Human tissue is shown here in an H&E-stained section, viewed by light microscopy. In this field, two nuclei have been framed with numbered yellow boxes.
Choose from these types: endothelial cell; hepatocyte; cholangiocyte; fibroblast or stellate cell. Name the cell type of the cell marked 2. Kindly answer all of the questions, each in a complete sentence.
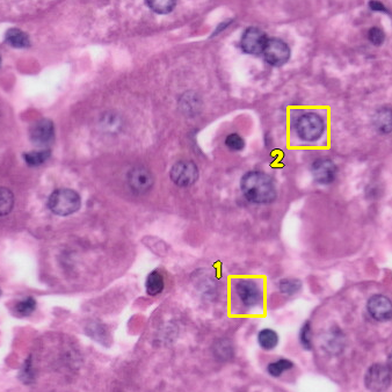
The cell identified by number 2 is a hepatocyte.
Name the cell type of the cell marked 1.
The one labeled 1 is a fibroblast or stellate cell, to put it simply.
